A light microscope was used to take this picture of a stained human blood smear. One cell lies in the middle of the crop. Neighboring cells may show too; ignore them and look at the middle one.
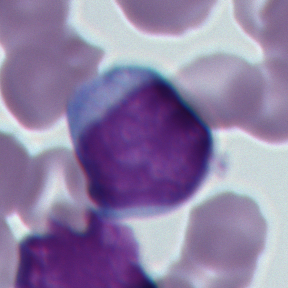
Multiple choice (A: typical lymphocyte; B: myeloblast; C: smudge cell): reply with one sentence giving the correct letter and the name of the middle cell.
The correct option, A, names the middle cell as a typical lymphocyte.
